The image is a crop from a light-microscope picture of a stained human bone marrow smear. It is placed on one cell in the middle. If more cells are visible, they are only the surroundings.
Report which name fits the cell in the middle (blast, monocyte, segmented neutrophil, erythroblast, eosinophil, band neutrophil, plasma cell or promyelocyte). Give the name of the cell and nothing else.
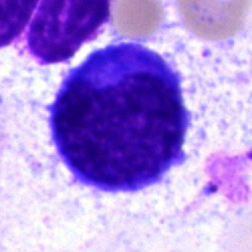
blast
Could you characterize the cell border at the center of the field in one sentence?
A ragged or projecting edge replaces the smooth outline in this cell.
